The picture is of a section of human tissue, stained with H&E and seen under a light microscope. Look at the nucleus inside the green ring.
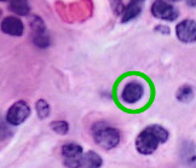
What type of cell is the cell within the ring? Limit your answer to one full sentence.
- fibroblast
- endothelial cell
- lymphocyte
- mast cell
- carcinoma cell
The correct response here is that the cell within the ring is a lymphocyte.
